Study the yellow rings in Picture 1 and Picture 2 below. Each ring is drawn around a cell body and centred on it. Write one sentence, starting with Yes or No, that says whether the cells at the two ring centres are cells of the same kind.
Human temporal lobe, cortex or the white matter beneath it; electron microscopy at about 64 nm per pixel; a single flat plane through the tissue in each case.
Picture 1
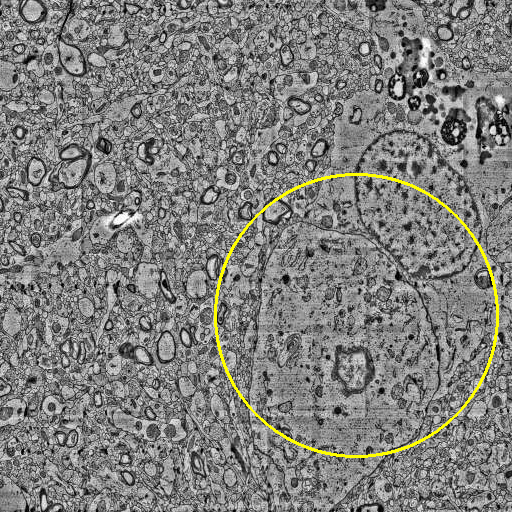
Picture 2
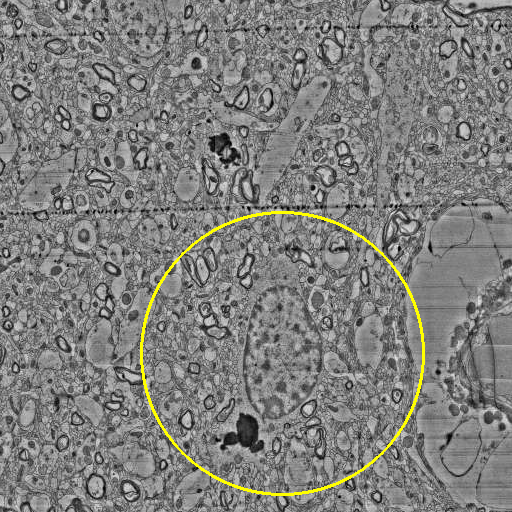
No, the cells at the ring centres are of two kinds.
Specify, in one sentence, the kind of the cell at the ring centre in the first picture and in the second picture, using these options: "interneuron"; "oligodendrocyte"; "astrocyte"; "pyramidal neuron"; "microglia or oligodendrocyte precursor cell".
So the first is a pyramidal neuron, the second an oligodendrocyte.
